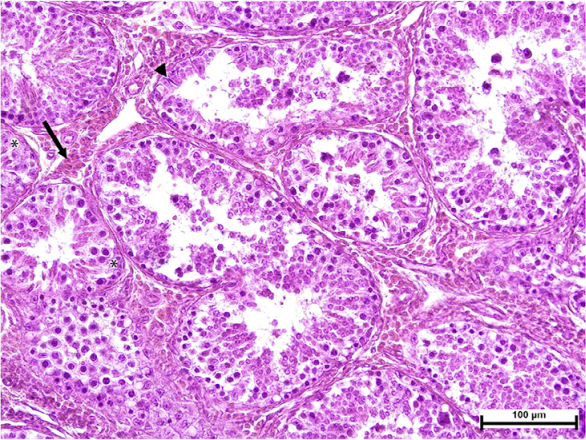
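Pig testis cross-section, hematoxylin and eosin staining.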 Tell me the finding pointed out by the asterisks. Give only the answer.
Seminiferous epithelium vacuolation.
